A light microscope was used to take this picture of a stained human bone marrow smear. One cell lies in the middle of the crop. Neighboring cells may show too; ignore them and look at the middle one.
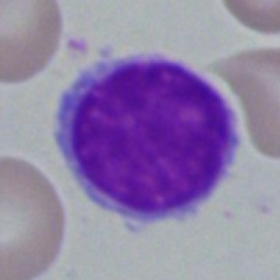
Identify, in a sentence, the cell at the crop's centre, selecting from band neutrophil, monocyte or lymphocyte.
Classification of the middle cell gives a lymphocyte.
